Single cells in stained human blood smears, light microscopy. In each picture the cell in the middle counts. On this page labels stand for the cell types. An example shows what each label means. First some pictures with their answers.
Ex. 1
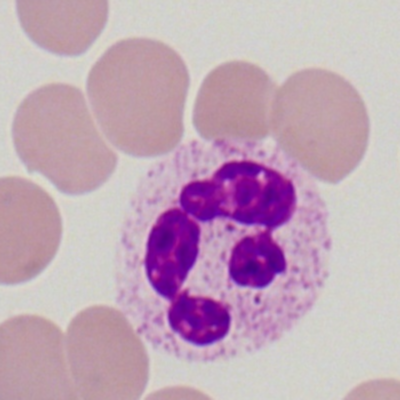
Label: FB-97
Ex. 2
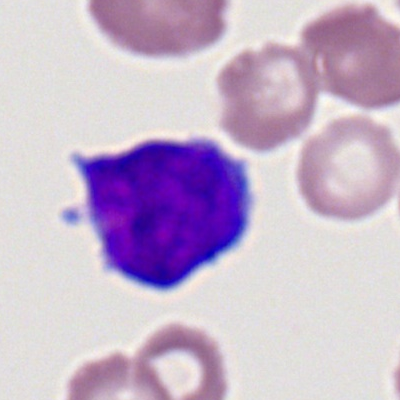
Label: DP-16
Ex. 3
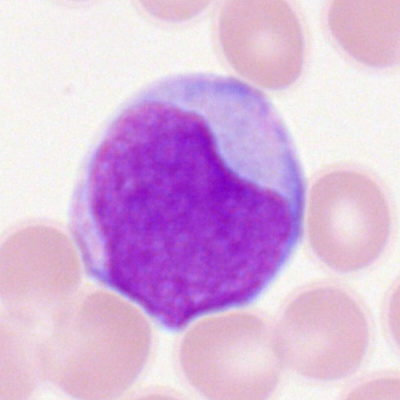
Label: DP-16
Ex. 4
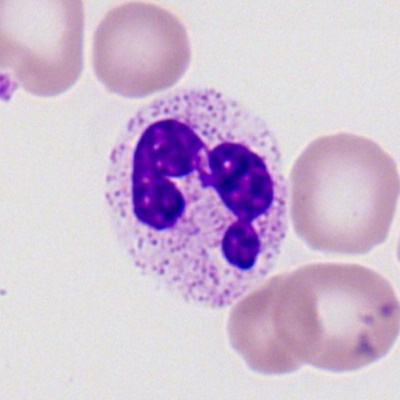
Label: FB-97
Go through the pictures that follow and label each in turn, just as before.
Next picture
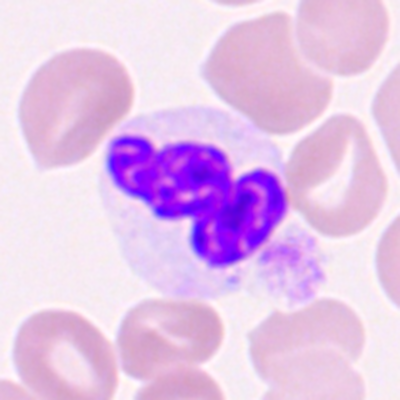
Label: FB-97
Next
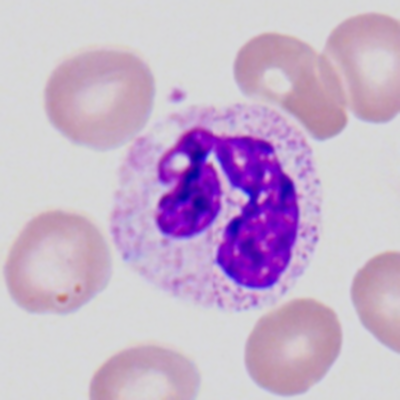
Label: FB-97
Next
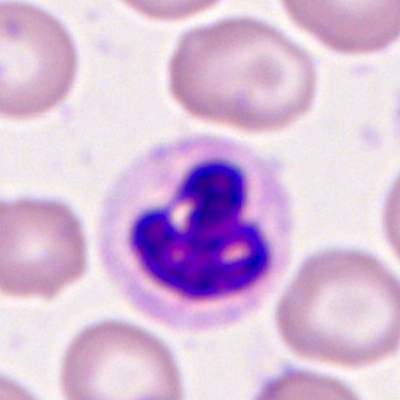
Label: FB-97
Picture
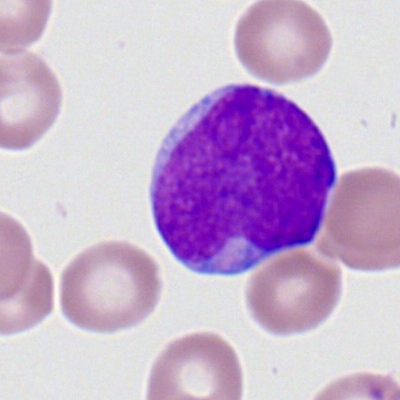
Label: DP-16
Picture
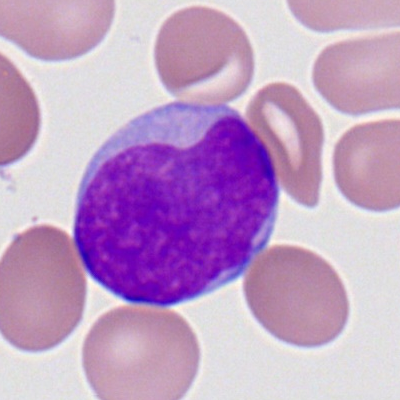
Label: DP-16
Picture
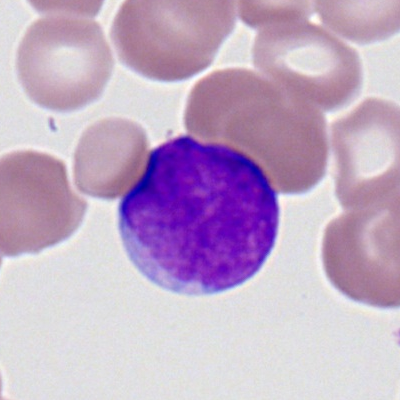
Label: DP-16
